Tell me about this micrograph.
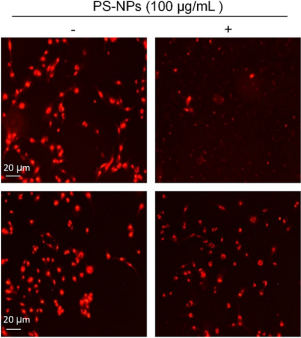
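Most cells are small and roundish or slightly elongated, with the red signal filling much of each cell. The red glow is bright in some fields and fainter and sparser in others.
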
